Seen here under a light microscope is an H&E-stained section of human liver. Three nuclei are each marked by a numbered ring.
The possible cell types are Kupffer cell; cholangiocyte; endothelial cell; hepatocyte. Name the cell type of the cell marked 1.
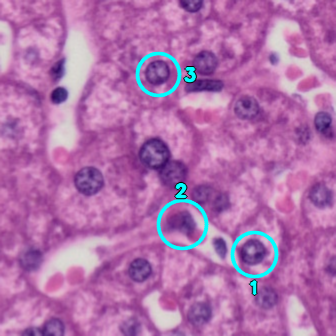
hepatocyte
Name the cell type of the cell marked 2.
Kupffer cell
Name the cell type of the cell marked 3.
hepatocyte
